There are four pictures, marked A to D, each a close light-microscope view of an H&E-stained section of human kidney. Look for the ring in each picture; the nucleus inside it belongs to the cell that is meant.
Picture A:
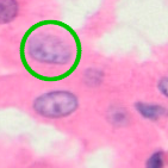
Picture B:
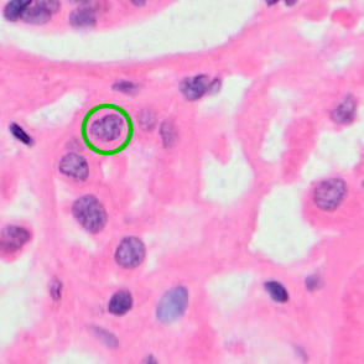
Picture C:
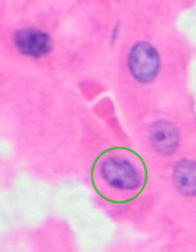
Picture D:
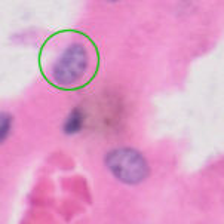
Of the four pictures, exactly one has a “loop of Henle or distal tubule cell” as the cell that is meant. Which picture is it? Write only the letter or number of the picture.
D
